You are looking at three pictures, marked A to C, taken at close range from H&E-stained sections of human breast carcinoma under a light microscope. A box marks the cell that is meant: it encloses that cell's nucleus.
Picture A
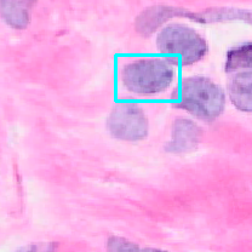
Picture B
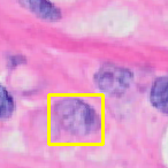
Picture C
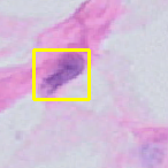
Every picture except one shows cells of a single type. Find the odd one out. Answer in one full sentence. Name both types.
Unlike the rest, which show carcinoma cells, picture C shows a fibroblast.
